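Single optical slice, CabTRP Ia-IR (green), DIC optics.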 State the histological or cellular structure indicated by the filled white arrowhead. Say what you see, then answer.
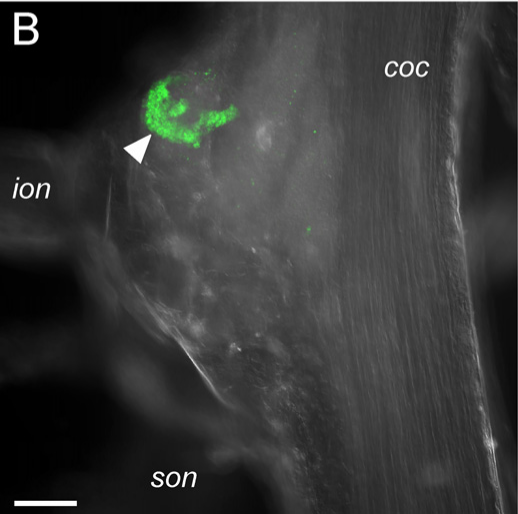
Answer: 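A compact, curved, C-shaped cluster of bright green granular label. The green cluster sits at the medial edge of the tissue, near where the nerves join. So: neuroendocrine organ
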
